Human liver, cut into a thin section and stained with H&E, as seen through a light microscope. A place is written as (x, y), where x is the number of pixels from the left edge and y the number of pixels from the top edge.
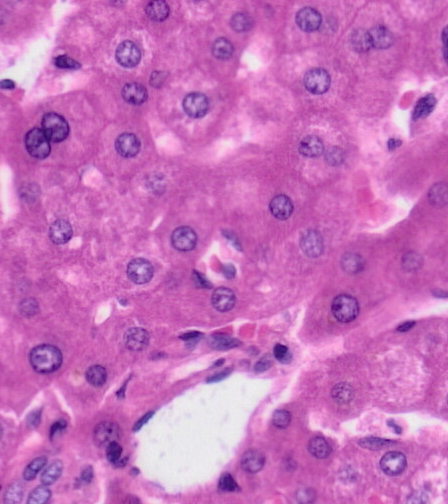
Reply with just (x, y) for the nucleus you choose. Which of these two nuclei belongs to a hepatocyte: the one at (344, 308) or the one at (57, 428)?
(344, 308)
